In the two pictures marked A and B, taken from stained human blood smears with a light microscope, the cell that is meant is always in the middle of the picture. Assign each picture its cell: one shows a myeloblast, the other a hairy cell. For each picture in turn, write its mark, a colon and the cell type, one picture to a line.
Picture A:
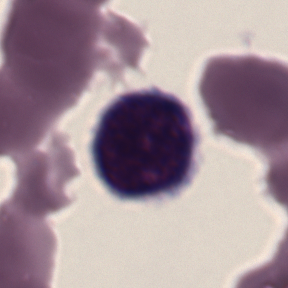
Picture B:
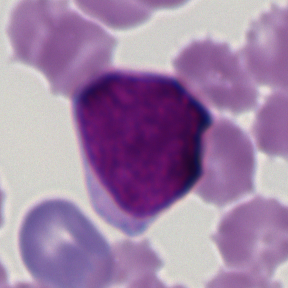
A: hairy cell
B: myeloblast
